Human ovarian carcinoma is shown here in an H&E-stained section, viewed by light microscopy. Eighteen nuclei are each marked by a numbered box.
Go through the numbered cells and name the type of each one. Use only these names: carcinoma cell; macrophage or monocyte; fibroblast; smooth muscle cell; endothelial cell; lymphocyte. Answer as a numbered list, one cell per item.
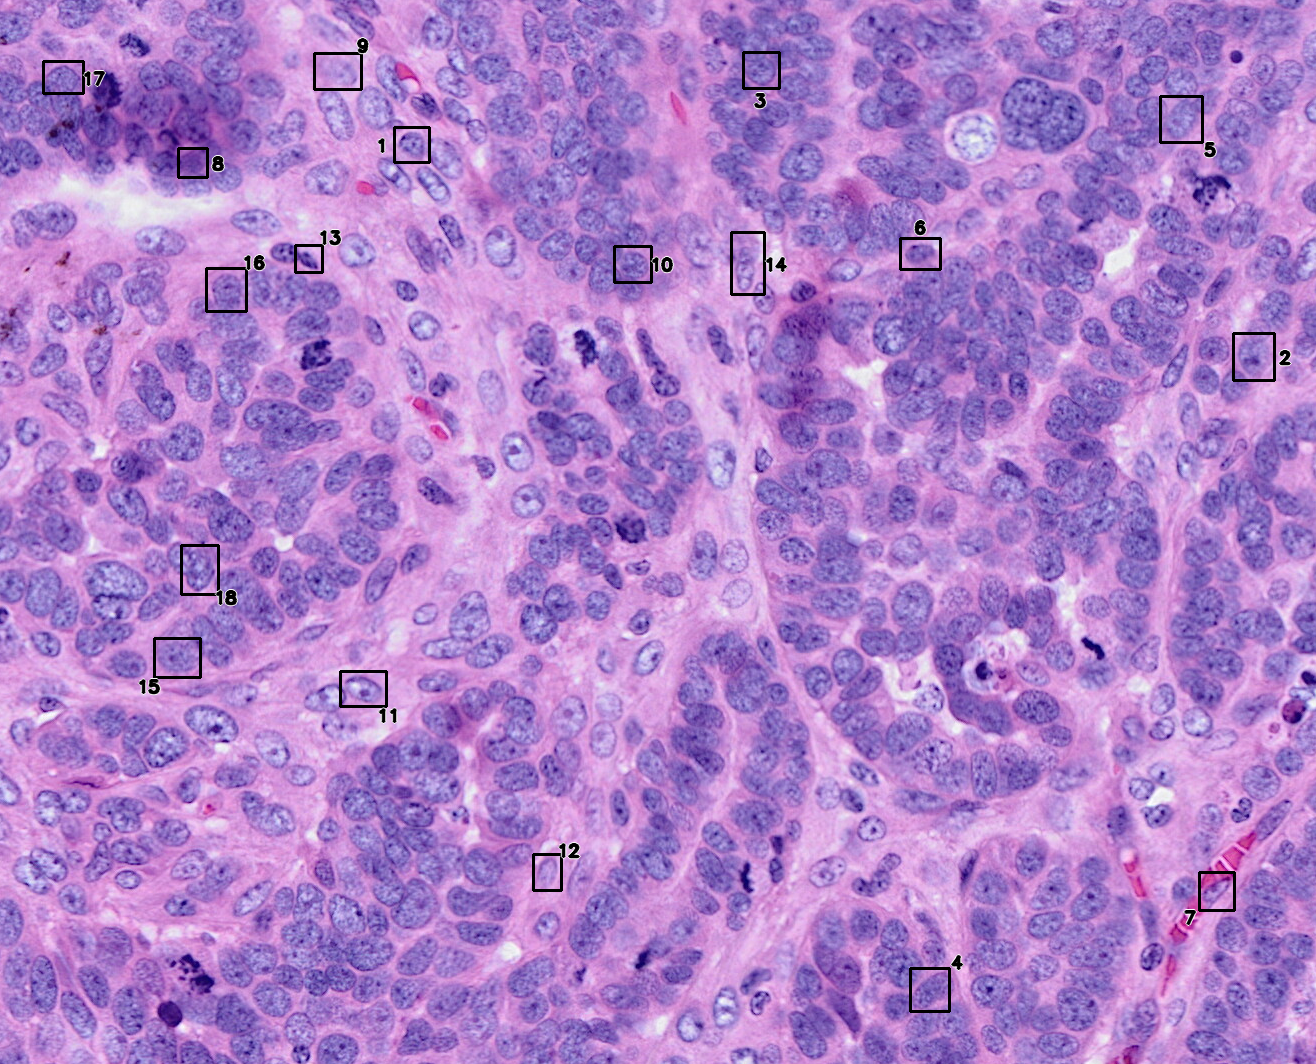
1. macrophage or monocyte
2. carcinoma cell
3. carcinoma cell
4. carcinoma cell
5. carcinoma cell
6. macrophage or monocyte
7. endothelial cell
8. carcinoma cell
9. fibroblast
10. carcinoma cell
11. fibroblast
12. fibroblast
13. lymphocyte
14. fibroblast
15. carcinoma cell
16. carcinoma cell
17. carcinoma cell
18. carcinoma cell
